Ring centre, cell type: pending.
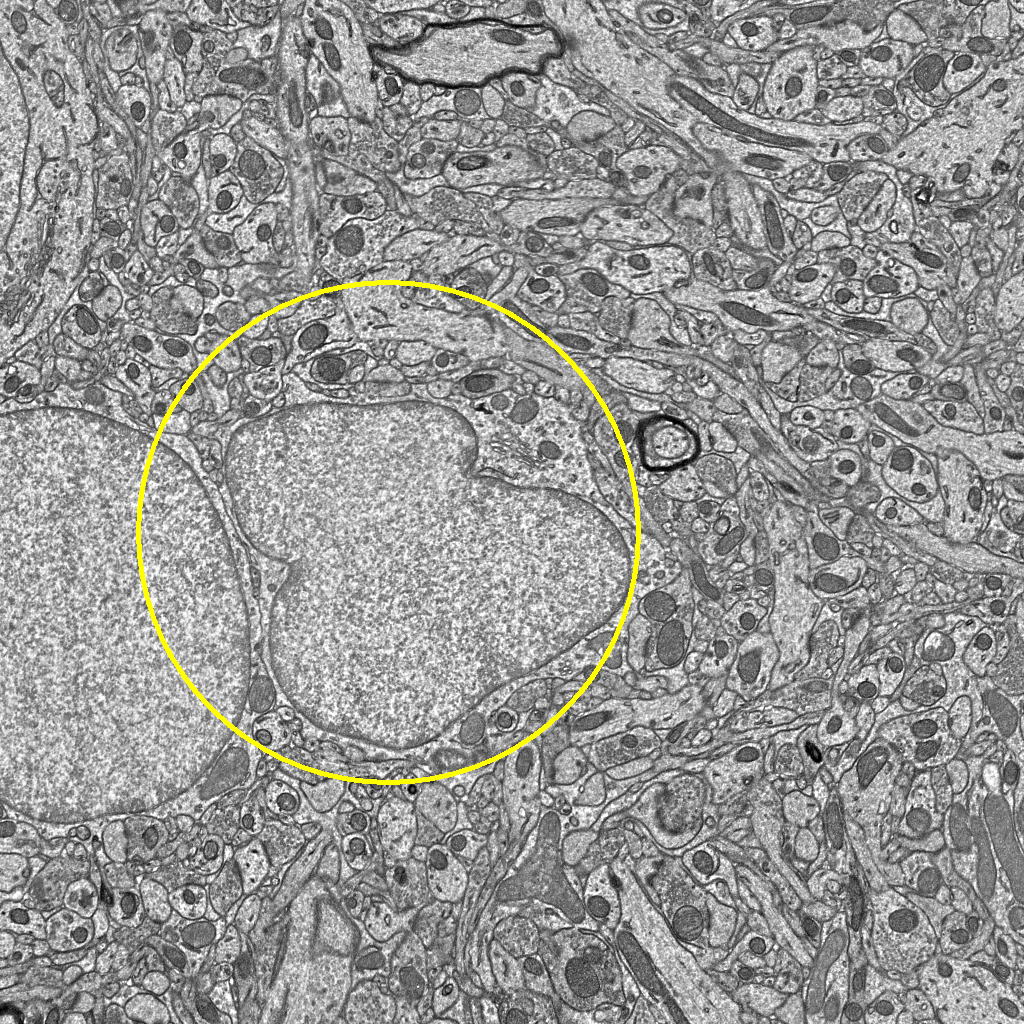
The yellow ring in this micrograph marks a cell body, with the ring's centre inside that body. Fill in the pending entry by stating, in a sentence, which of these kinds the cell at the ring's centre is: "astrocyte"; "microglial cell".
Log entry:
The cell at the ring's centre is recorded as an astrocyte.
